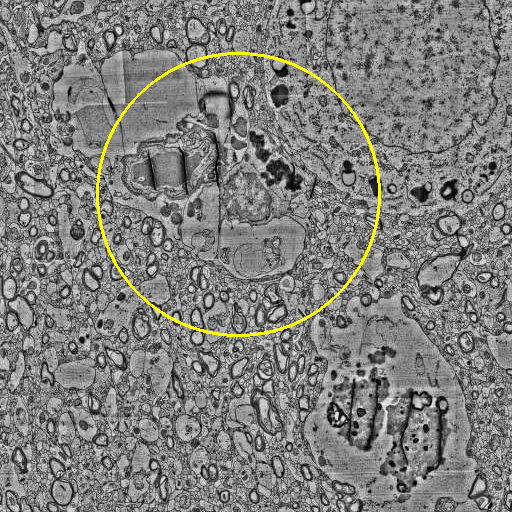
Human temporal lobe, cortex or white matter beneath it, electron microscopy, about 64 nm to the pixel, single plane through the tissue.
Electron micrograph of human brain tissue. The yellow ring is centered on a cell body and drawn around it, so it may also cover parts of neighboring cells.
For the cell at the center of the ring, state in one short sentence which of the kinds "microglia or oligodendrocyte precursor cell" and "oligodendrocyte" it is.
This ring is centered on an oligodendrocyte.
